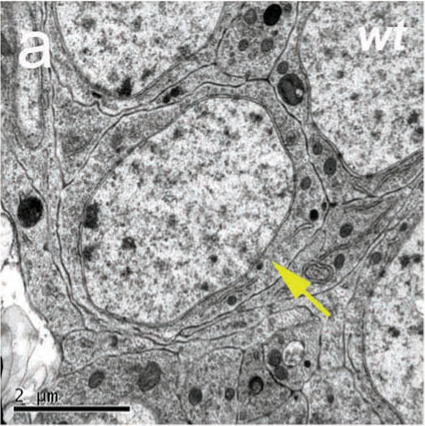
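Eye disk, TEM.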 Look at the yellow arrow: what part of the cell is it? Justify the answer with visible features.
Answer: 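Large nucleus. A large round body with finely granular content fills most of the central cell. It is bounded by a double membrane envelope, at which the arrow points.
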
